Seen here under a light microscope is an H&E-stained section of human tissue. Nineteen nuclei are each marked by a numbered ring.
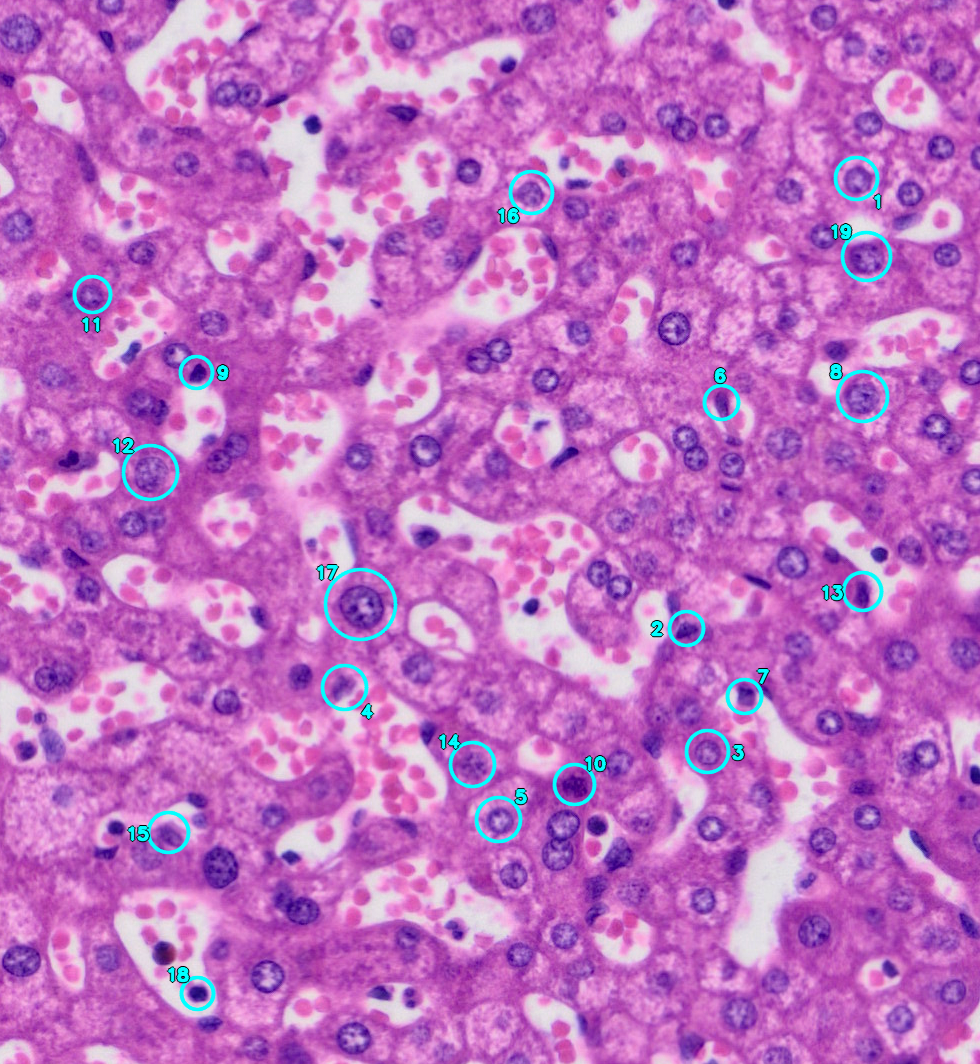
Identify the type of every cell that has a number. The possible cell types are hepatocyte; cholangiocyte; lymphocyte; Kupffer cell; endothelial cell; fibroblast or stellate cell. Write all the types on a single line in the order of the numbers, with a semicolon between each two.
hepatocyte; fibroblast or stellate cell; hepatocyte; endothelial cell; hepatocyte; Kupffer cell; Kupffer cell; hepatocyte; fibroblast or stellate cell; fibroblast or stellate cell; hepatocyte; hepatocyte; fibroblast or stellate cell; hepatocyte; Kupffer cell; hepatocyte; hepatocyte; lymphocyte; hepatocyte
